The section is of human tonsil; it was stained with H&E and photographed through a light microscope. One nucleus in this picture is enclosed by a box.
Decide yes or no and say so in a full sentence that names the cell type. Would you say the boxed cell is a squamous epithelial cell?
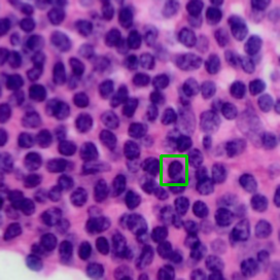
No, by cell type the boxed cell is a small lymphocyte, not a squamous epithelial cell.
